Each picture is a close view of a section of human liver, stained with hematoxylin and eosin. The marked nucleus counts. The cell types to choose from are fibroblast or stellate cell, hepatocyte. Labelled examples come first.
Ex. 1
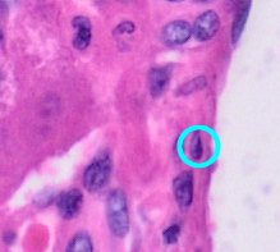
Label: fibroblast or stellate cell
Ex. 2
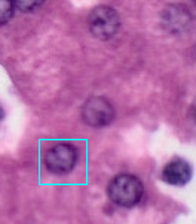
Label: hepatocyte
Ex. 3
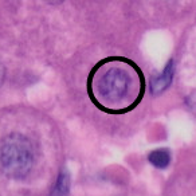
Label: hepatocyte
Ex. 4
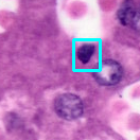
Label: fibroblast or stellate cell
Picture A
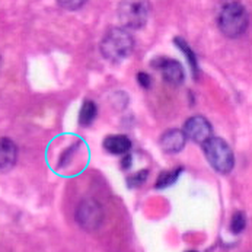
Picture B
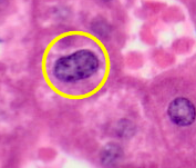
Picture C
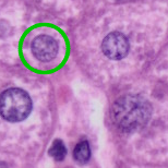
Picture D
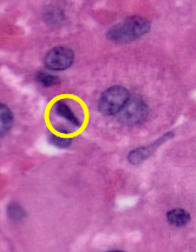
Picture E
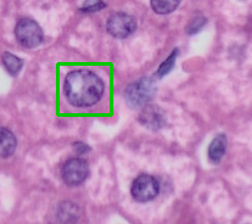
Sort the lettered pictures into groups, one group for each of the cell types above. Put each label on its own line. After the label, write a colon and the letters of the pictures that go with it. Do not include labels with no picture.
fibroblast or stellate cell: A, D
hepatocyte: B, C, E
